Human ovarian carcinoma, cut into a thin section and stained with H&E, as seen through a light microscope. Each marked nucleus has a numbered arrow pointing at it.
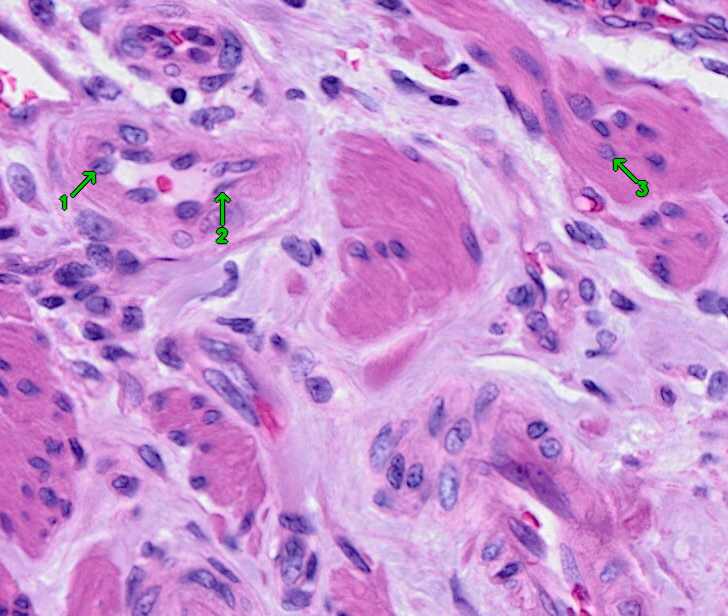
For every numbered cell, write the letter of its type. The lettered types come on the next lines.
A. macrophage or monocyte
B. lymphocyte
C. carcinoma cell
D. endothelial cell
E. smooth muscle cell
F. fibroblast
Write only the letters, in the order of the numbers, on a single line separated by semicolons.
D; D; E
